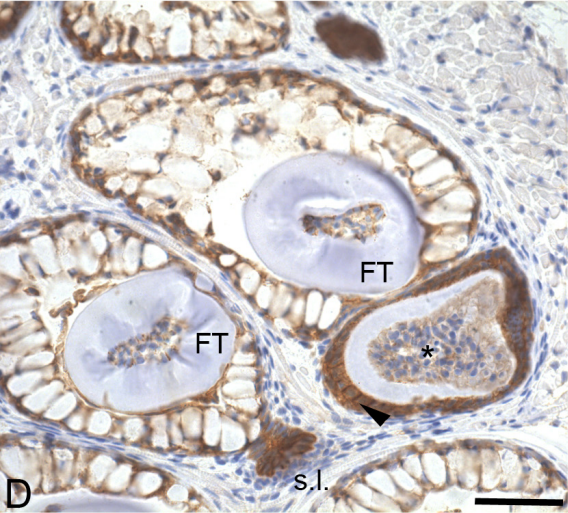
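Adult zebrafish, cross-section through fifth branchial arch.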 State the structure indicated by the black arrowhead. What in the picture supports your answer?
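The arrowhead points to a brown-stained epithelial layer wrapping the developing tooth. The layer lies outside the pale hard-tissue cap. On this evidence: enamel organ.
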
